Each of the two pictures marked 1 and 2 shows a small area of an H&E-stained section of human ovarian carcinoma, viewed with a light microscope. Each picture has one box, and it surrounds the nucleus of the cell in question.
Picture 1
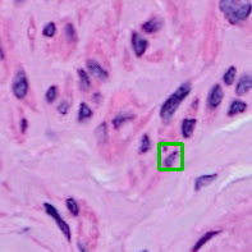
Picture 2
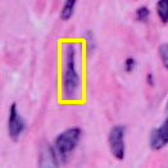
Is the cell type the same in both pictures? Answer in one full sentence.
Yes, they are the same type: both are smooth muscle cells.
